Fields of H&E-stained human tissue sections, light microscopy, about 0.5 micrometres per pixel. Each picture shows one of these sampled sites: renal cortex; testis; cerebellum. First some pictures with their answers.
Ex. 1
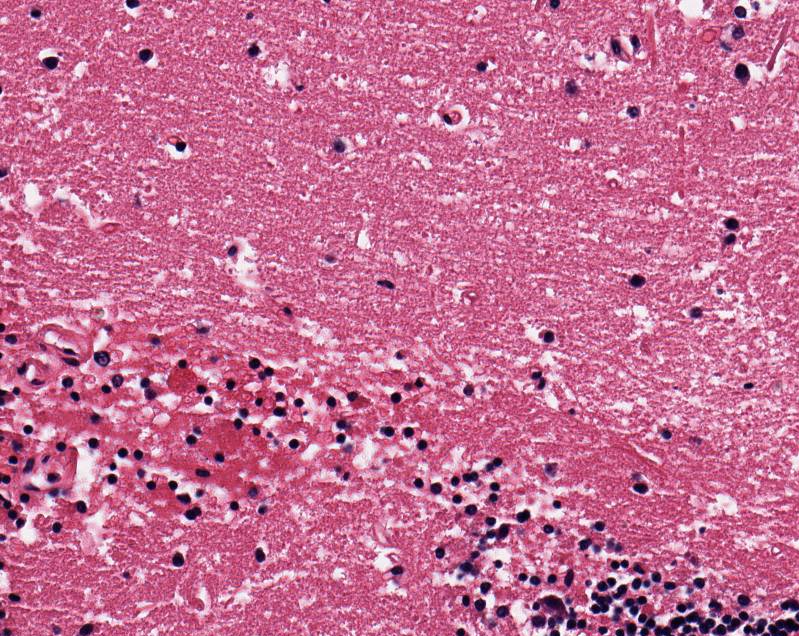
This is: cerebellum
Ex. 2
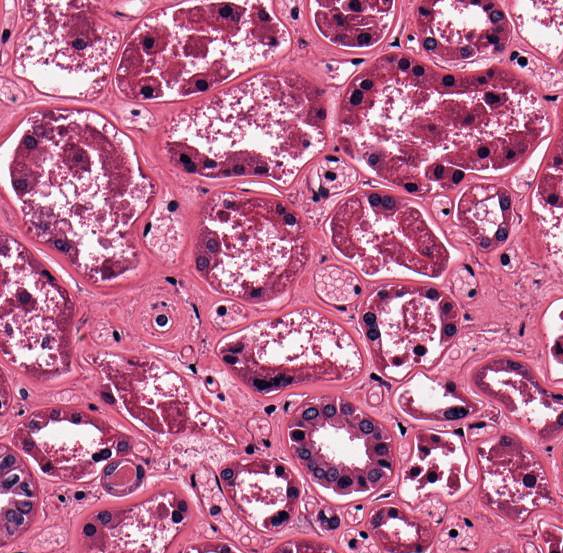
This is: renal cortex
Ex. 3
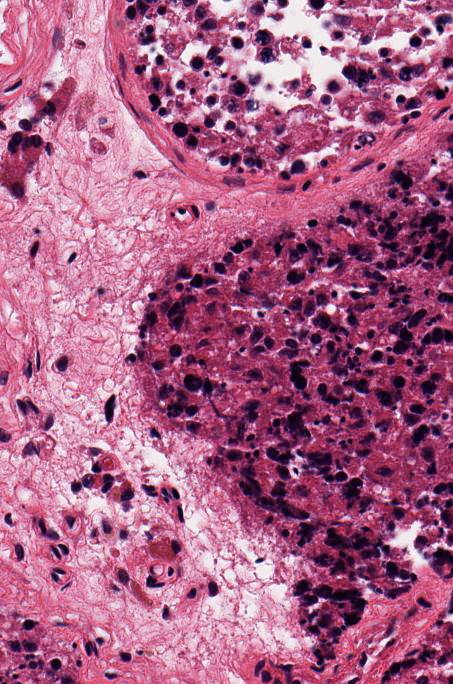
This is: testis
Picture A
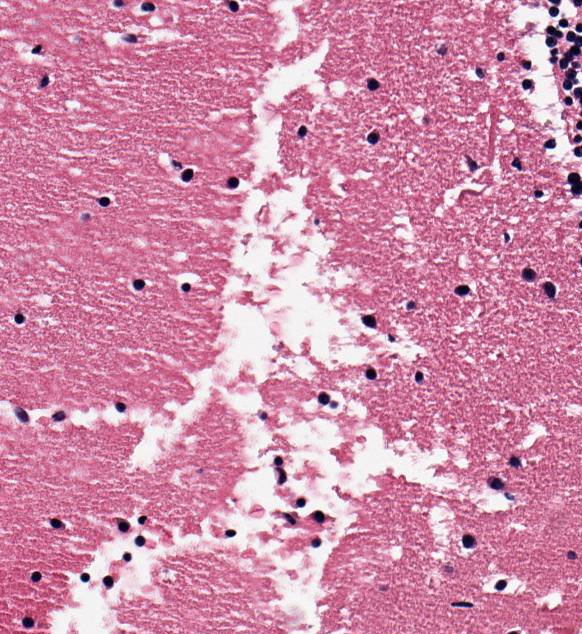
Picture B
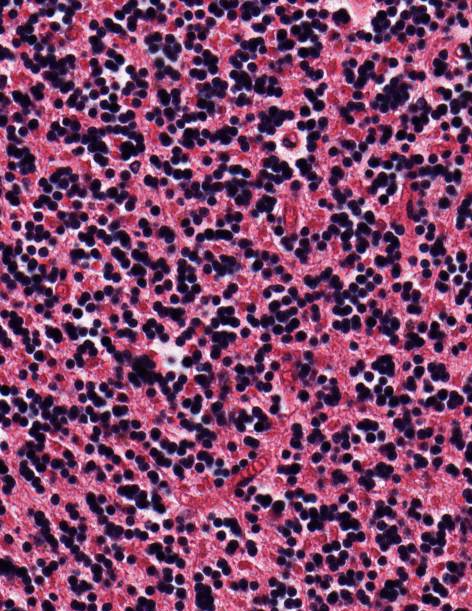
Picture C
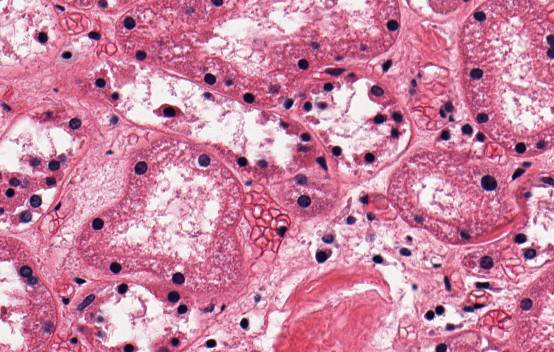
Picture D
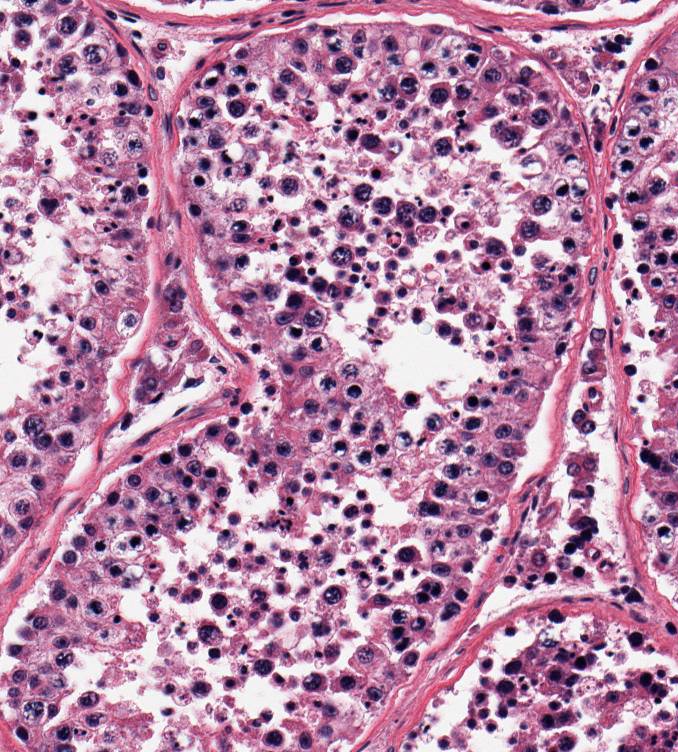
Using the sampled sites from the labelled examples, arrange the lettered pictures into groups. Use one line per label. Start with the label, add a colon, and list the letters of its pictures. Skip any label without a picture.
renal cortex: C
testis: D
cerebellum: A, B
